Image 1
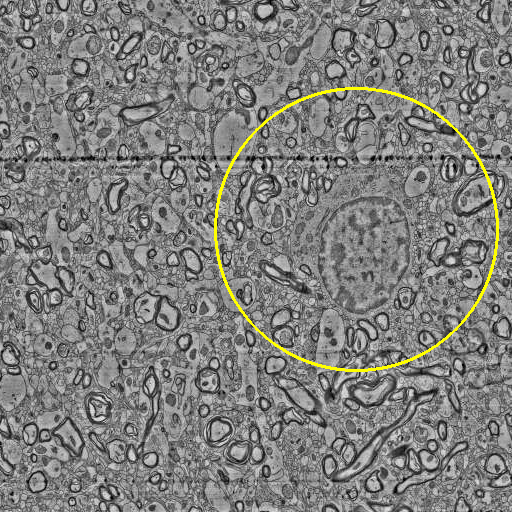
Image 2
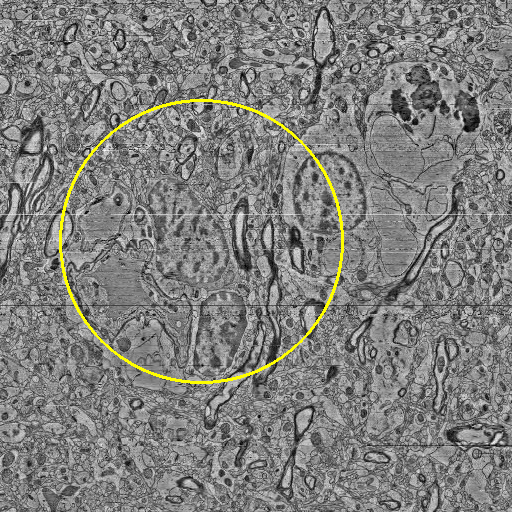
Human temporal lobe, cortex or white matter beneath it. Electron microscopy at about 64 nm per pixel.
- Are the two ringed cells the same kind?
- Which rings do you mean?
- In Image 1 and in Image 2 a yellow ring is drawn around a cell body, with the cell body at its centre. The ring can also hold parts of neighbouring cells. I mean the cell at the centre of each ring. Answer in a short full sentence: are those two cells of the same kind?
Yes, both cells are of the same kind.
